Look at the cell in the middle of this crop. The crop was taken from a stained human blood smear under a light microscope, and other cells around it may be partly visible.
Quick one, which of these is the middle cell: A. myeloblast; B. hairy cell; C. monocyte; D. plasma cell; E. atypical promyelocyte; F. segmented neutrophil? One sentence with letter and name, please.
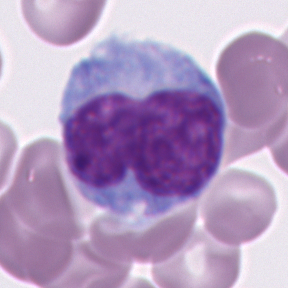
Option C is right in identifying the central cell as a monocyte.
